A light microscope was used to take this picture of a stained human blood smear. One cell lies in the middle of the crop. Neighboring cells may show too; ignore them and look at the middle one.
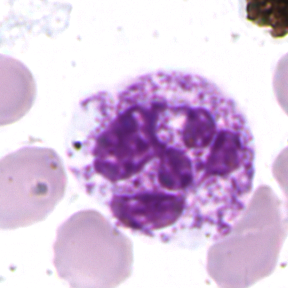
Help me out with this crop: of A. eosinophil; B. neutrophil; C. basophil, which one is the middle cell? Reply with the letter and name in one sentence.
The middle of the crop holds a neutrophil, which points to option B.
